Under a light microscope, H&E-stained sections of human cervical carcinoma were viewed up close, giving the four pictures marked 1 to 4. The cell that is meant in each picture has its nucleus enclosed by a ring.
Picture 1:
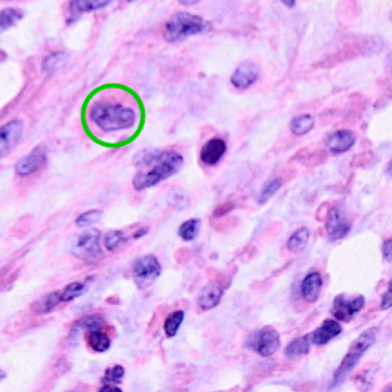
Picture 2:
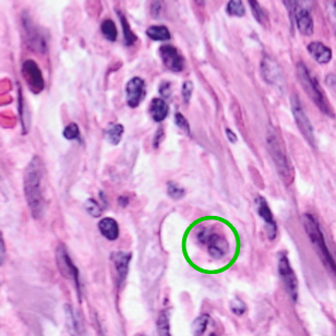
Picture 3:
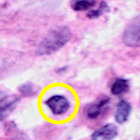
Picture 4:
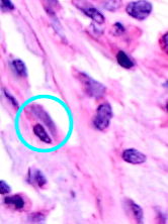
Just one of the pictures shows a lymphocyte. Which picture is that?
3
